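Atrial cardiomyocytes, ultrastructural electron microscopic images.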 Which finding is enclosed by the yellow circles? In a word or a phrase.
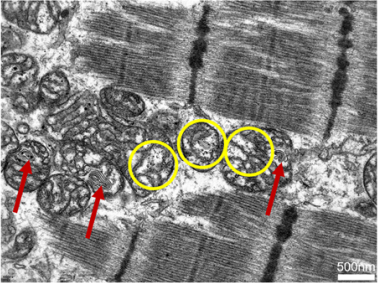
Mitochondrial swelling and vacuolization.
